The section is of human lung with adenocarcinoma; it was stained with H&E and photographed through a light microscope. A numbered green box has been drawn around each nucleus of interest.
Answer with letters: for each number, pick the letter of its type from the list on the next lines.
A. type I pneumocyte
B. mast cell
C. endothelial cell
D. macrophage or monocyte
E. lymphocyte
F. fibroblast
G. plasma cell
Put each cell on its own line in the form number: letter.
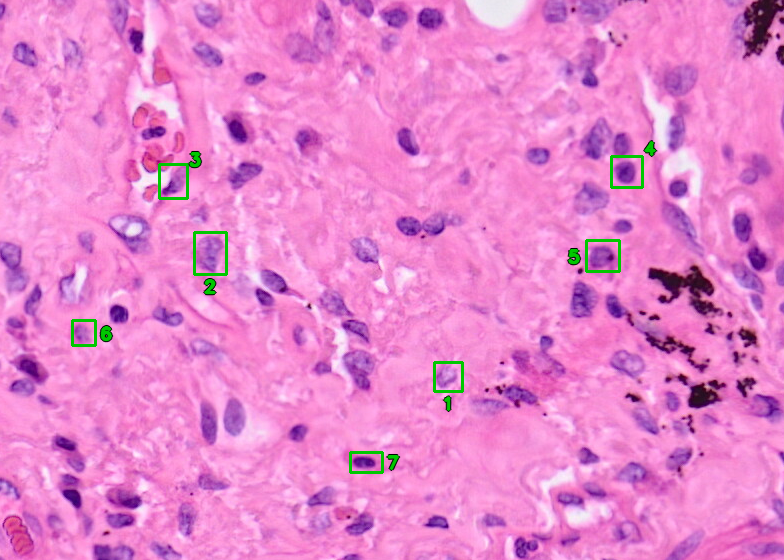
1: F
2: F
3: C
4: E
5: G
6: B
7: B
